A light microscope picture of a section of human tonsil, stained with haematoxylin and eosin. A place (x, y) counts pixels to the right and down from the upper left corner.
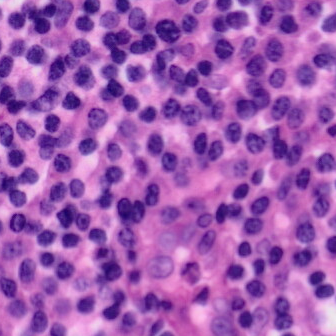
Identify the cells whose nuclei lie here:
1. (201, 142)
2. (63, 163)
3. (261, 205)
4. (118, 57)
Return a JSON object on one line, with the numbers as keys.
{"1": "plasma cell", "2": "plasma cell", "3": "plasma cell", "4": "small lymphocyte"}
